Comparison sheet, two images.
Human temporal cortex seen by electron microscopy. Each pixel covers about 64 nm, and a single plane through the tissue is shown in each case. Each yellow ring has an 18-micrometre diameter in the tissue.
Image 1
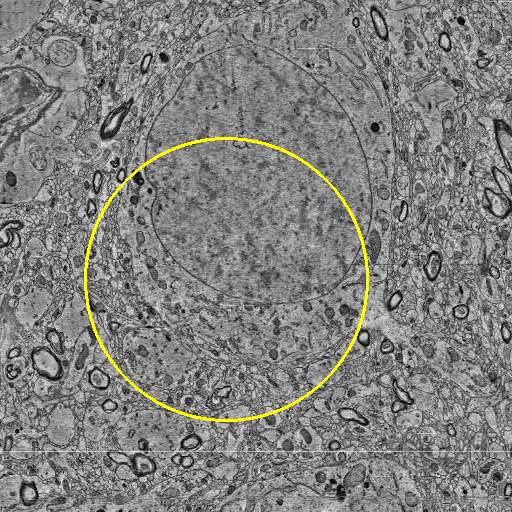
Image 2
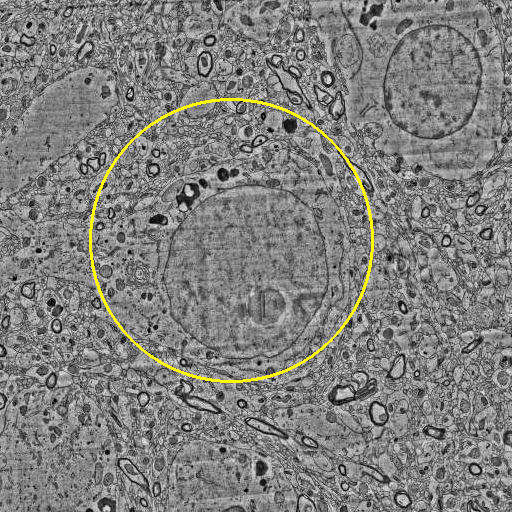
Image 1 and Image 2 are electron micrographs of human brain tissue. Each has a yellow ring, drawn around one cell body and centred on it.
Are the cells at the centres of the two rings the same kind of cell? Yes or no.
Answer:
yes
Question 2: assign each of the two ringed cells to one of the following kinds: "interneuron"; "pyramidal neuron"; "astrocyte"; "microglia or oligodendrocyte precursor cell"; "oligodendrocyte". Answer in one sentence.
Each of the two pictures has a pyramidal neuron at the ring centre.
